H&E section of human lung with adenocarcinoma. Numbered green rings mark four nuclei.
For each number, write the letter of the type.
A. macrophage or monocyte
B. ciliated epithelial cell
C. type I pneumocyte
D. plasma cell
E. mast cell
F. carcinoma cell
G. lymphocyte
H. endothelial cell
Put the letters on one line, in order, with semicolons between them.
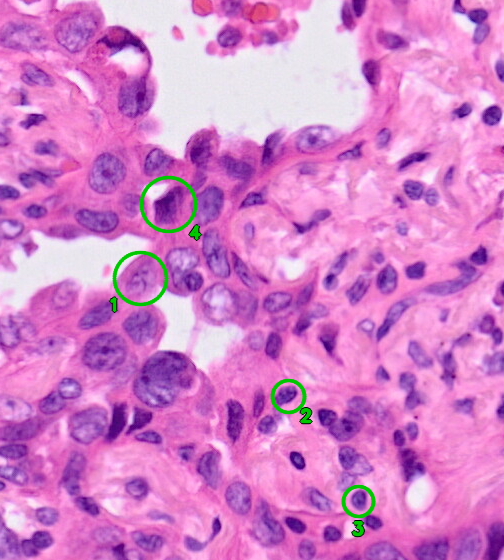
F; G; G; F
